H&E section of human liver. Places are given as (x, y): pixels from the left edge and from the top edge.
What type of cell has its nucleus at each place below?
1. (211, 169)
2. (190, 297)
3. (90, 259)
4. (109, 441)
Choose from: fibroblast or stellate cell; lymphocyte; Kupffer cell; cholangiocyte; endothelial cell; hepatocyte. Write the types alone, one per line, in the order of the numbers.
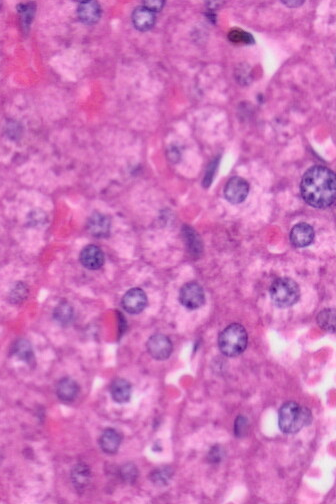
Kupffer cell
hepatocyte
hepatocyte
hepatocyte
